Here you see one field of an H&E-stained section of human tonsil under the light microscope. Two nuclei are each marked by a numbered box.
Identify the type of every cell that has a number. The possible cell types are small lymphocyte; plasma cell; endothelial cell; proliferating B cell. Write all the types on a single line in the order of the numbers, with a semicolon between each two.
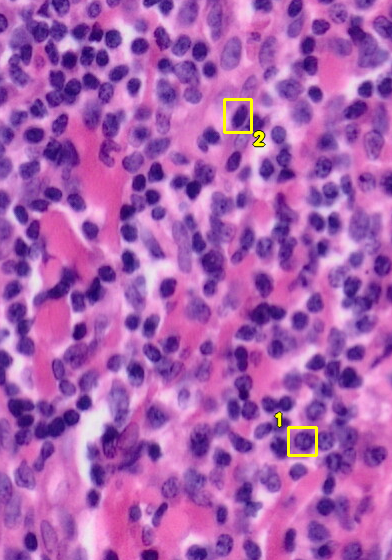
plasma cell; endothelial cell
